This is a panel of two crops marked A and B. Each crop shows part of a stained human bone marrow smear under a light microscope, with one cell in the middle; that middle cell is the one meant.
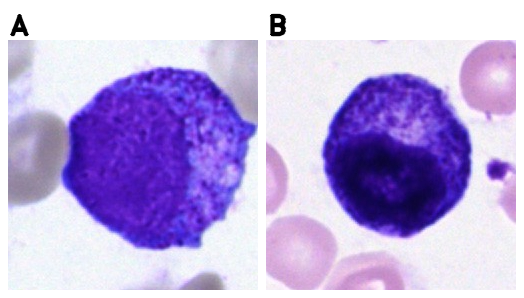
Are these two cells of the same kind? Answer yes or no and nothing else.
yes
